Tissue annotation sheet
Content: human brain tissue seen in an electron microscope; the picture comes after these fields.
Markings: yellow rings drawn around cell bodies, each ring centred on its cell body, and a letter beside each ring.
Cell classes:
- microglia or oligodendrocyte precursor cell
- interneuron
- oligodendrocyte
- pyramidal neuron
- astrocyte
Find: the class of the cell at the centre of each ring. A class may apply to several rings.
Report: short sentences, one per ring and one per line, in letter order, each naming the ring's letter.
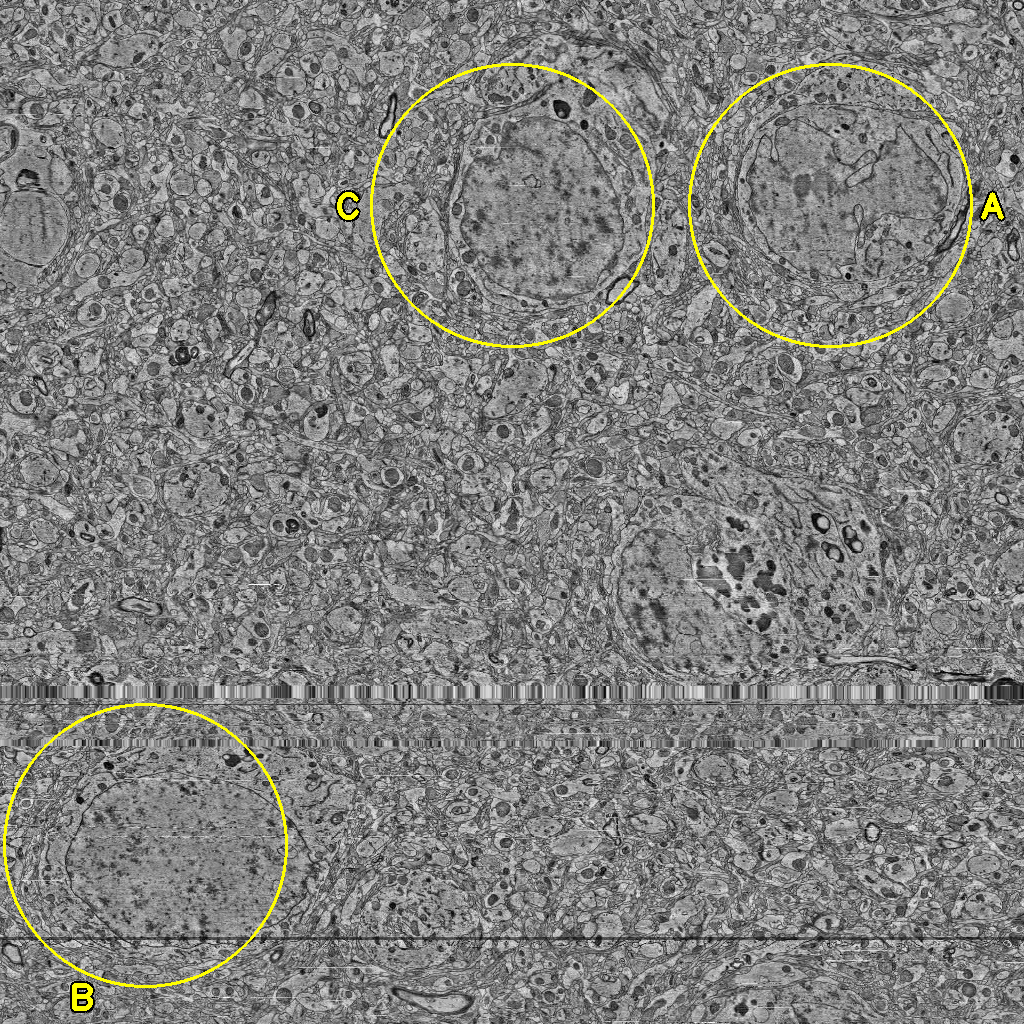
Ring A holds an interneuron at its centre.
Ring B holds a pyramidal neuron at its centre.
Ring C holds an interneuron at its centre.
